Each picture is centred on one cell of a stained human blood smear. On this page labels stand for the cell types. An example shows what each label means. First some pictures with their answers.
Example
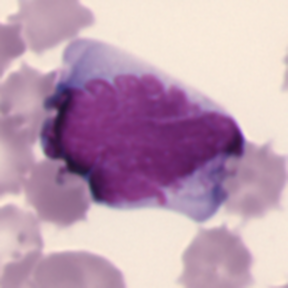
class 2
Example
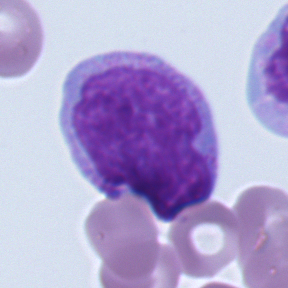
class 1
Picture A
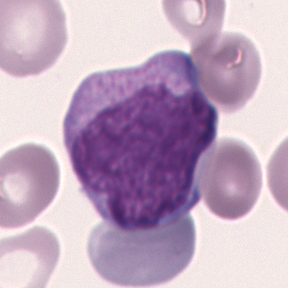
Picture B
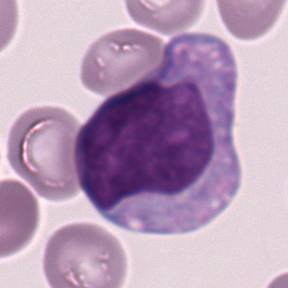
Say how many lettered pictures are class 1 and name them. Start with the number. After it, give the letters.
2: A, B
